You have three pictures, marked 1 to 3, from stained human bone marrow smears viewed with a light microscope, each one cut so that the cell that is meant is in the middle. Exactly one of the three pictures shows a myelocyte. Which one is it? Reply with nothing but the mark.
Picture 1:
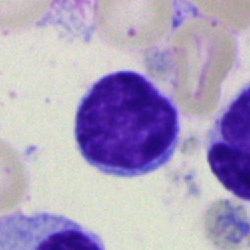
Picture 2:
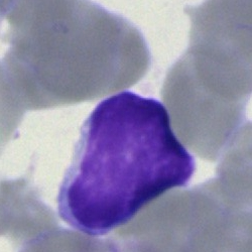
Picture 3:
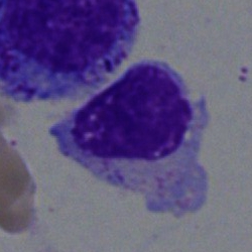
3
